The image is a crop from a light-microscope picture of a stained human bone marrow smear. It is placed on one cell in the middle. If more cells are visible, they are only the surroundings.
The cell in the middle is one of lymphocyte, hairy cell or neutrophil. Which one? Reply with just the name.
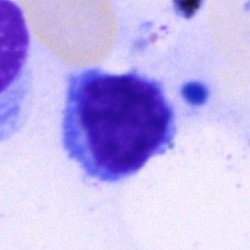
lymphocyte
